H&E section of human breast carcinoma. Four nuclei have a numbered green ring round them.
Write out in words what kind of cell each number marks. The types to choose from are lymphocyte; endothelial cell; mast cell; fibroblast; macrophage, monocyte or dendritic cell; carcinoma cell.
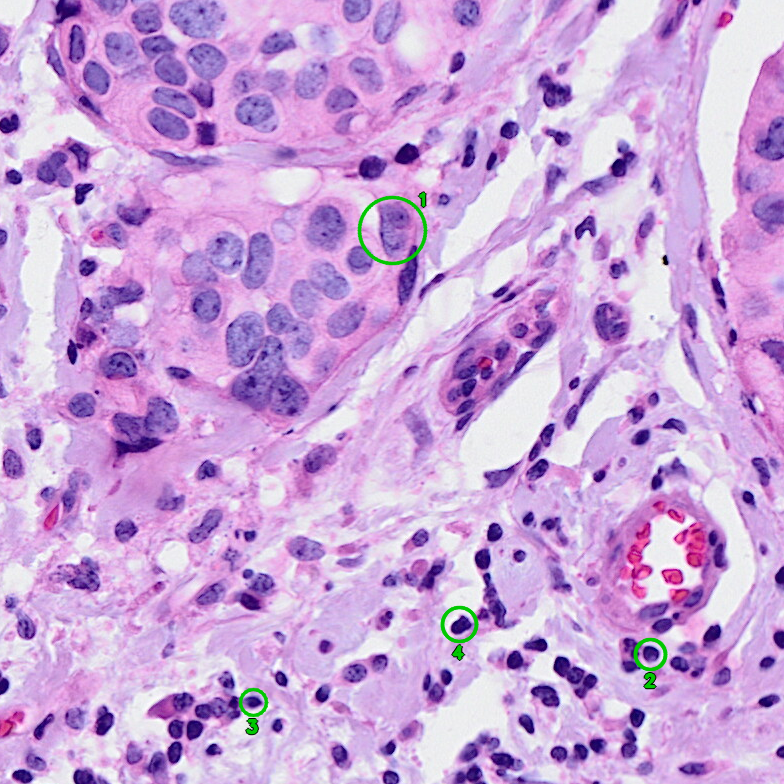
Cell 1 is a carcinoma cell, cell 2 is a lymphocyte, cell 3 is a lymphocyte and cell 4 is a lymphocyte.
